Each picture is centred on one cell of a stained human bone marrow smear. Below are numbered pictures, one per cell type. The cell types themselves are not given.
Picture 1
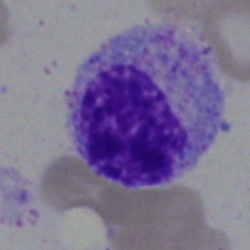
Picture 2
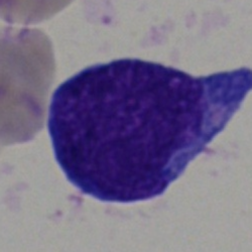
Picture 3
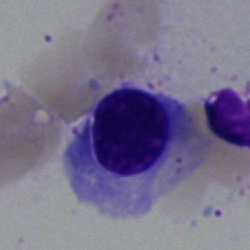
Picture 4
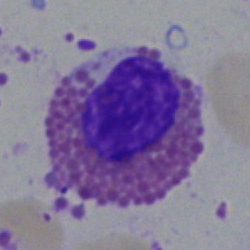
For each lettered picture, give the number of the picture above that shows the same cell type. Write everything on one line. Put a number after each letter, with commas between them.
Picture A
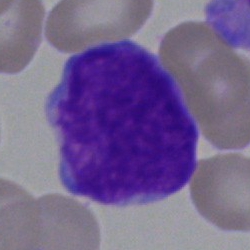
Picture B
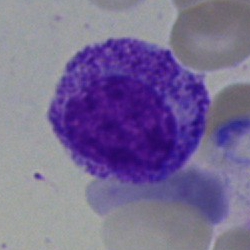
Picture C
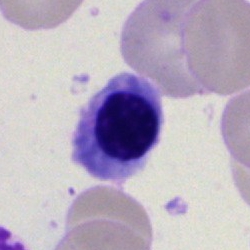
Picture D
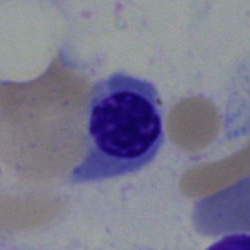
A 2, B 1, C 3, D 3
